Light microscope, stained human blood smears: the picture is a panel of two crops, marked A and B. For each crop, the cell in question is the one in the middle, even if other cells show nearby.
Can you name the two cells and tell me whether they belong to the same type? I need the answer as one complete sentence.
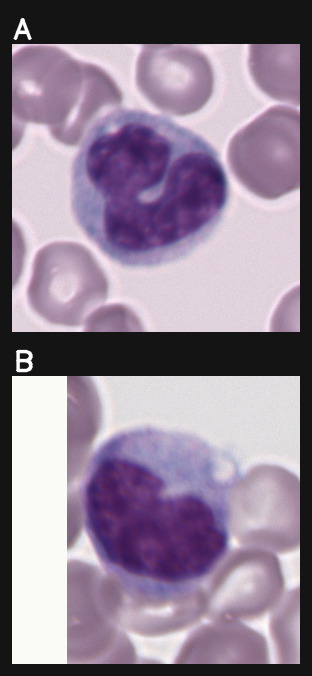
Yes, in the middle of both crops lie monocytes.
